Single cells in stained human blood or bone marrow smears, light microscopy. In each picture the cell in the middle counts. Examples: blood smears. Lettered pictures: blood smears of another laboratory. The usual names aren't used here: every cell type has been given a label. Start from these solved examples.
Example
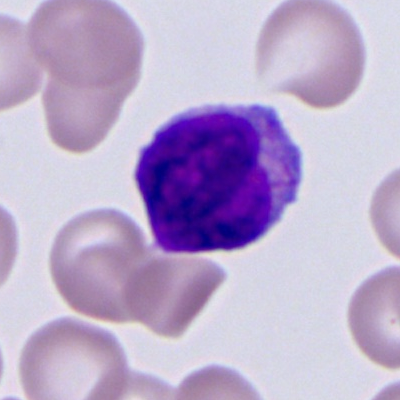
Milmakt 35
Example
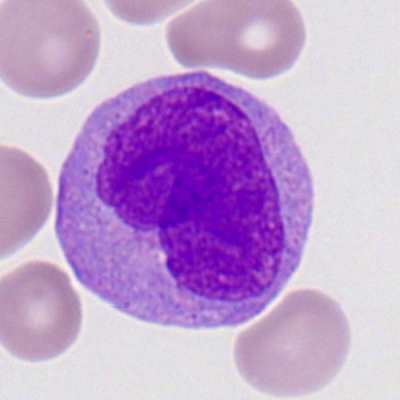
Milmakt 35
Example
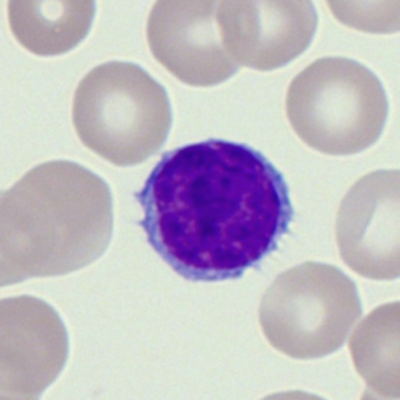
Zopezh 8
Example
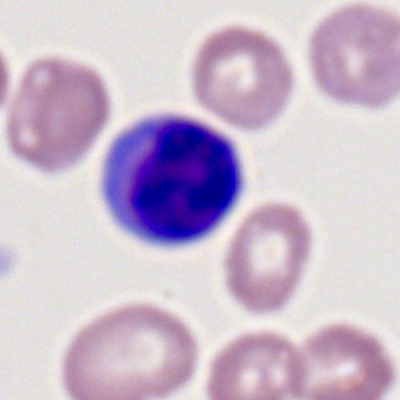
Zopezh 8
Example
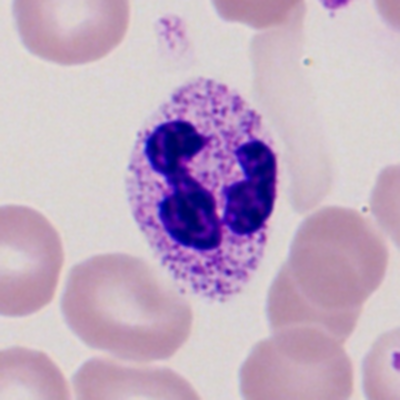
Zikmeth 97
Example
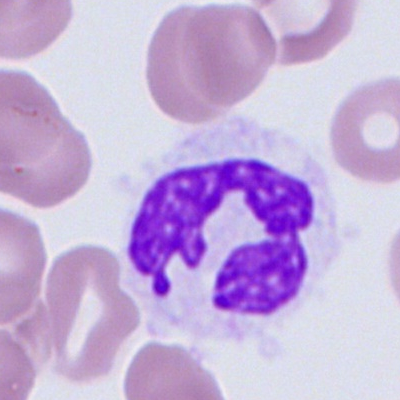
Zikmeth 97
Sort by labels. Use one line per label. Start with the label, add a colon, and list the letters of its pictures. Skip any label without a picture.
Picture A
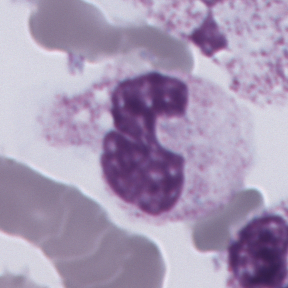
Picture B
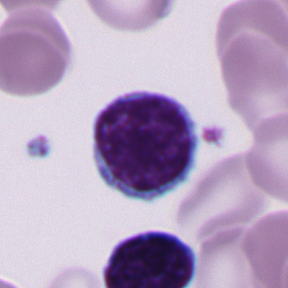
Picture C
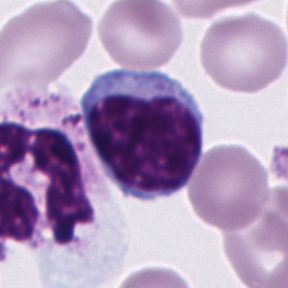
Zopezh 8: B, C
Zikmeth 97: A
